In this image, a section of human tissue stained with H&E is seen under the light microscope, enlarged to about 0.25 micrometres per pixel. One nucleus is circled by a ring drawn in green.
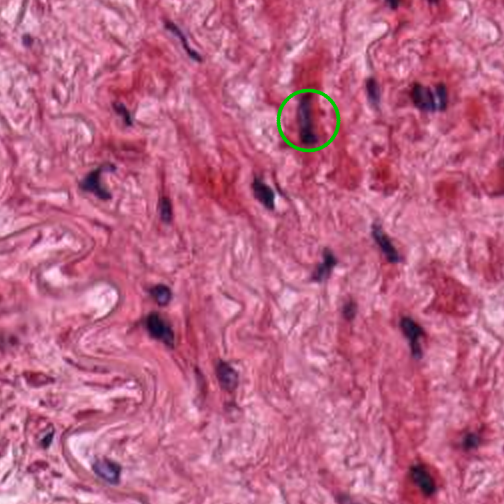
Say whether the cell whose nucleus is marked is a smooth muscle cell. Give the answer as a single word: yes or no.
yes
